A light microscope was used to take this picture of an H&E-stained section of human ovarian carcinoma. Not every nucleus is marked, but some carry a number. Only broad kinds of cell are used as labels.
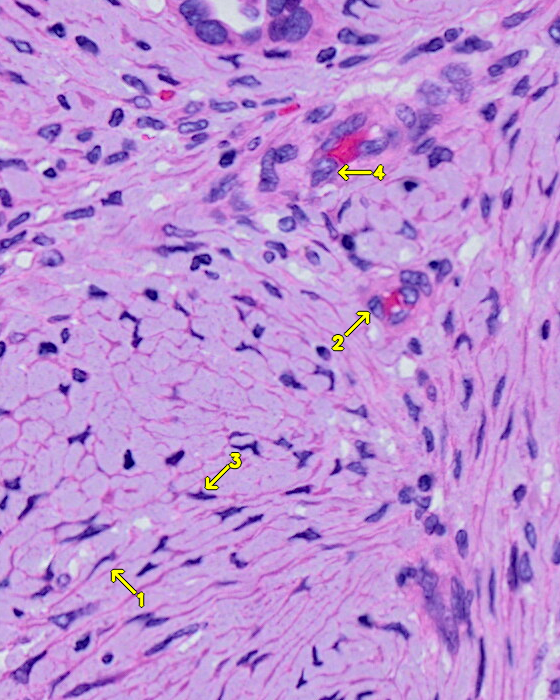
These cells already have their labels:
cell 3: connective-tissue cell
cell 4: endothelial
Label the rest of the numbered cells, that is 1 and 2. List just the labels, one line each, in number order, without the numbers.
connective-tissue cell
endothelial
